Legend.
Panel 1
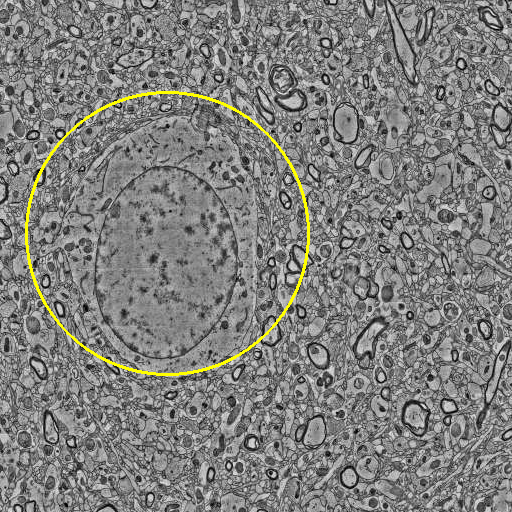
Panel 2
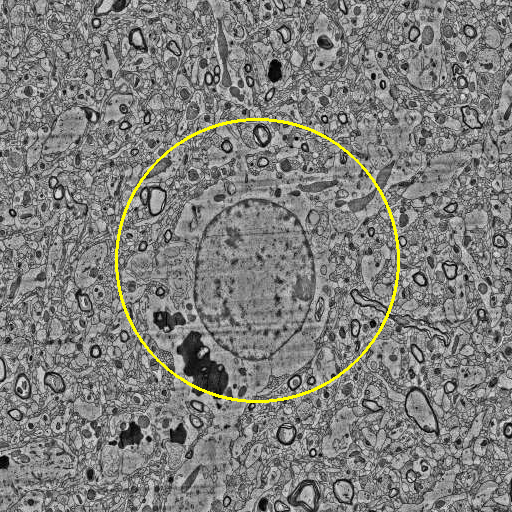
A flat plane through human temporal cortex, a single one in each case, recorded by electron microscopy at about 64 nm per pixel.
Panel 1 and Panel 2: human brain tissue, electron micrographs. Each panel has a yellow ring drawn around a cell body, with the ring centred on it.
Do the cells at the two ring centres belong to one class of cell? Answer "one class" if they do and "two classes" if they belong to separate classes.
two classes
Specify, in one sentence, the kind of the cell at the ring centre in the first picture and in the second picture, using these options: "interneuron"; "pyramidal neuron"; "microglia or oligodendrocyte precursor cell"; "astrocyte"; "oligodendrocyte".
So the first is a pyramidal neuron, the second an astrocyte.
